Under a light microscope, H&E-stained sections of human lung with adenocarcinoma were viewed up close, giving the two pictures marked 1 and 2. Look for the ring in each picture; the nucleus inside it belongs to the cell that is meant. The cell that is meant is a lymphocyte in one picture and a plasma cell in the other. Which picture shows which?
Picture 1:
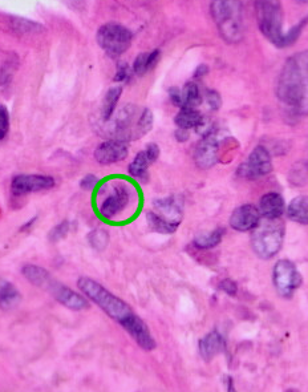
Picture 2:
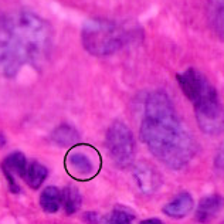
1: plasma cell
2: lymphocyte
